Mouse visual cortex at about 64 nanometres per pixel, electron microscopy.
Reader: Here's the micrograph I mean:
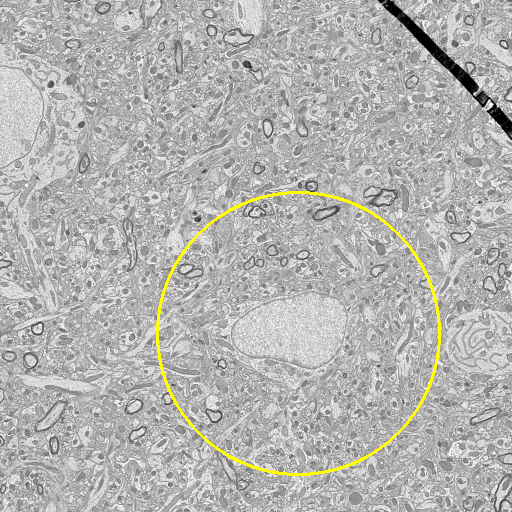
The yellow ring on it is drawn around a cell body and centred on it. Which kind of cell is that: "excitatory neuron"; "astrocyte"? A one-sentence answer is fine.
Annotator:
The ring is centred on an astrocyte.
